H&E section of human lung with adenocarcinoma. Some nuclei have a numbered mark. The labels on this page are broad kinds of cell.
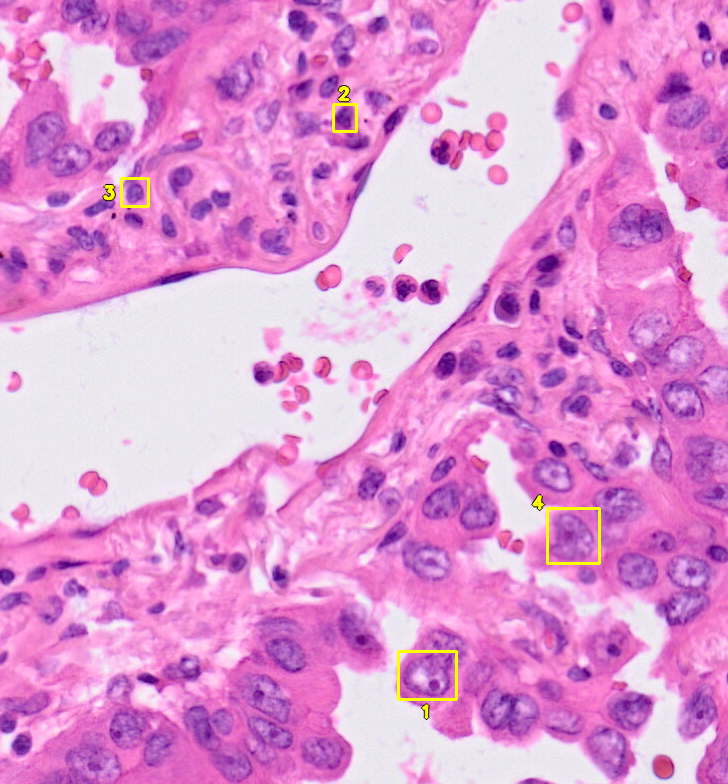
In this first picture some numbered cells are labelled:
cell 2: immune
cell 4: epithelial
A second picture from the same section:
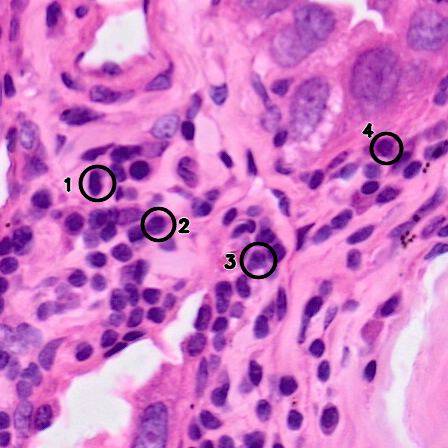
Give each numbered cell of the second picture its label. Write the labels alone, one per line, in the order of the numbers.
immune
immune
immune
immune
